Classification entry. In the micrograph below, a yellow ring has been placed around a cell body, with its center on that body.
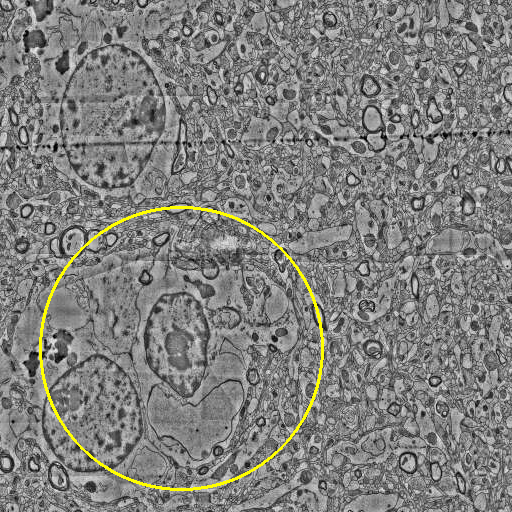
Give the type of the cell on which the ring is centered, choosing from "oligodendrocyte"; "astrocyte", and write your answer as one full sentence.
The cell body at the center of the yellow ring belongs to an astrocyte.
